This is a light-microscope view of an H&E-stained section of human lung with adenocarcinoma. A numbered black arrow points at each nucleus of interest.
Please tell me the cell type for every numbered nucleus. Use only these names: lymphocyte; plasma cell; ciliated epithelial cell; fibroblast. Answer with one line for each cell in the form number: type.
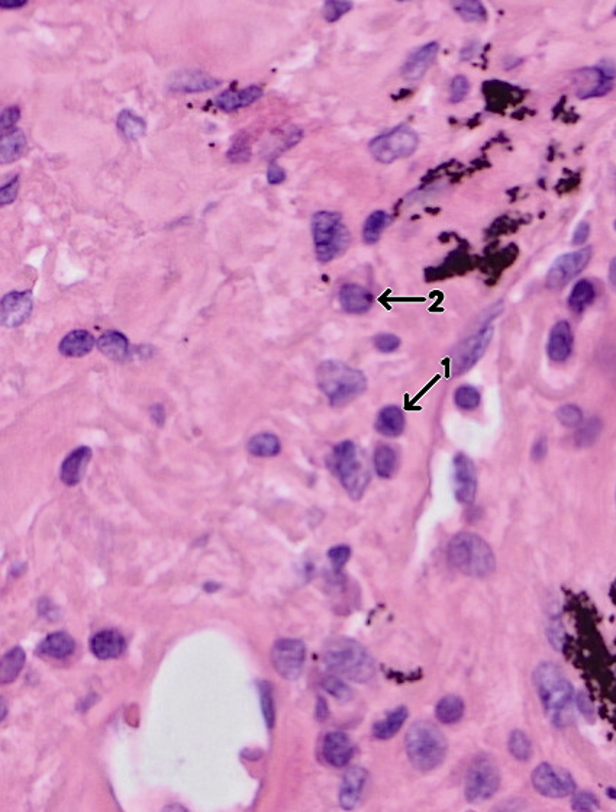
1: lymphocyte
2: plasma cell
